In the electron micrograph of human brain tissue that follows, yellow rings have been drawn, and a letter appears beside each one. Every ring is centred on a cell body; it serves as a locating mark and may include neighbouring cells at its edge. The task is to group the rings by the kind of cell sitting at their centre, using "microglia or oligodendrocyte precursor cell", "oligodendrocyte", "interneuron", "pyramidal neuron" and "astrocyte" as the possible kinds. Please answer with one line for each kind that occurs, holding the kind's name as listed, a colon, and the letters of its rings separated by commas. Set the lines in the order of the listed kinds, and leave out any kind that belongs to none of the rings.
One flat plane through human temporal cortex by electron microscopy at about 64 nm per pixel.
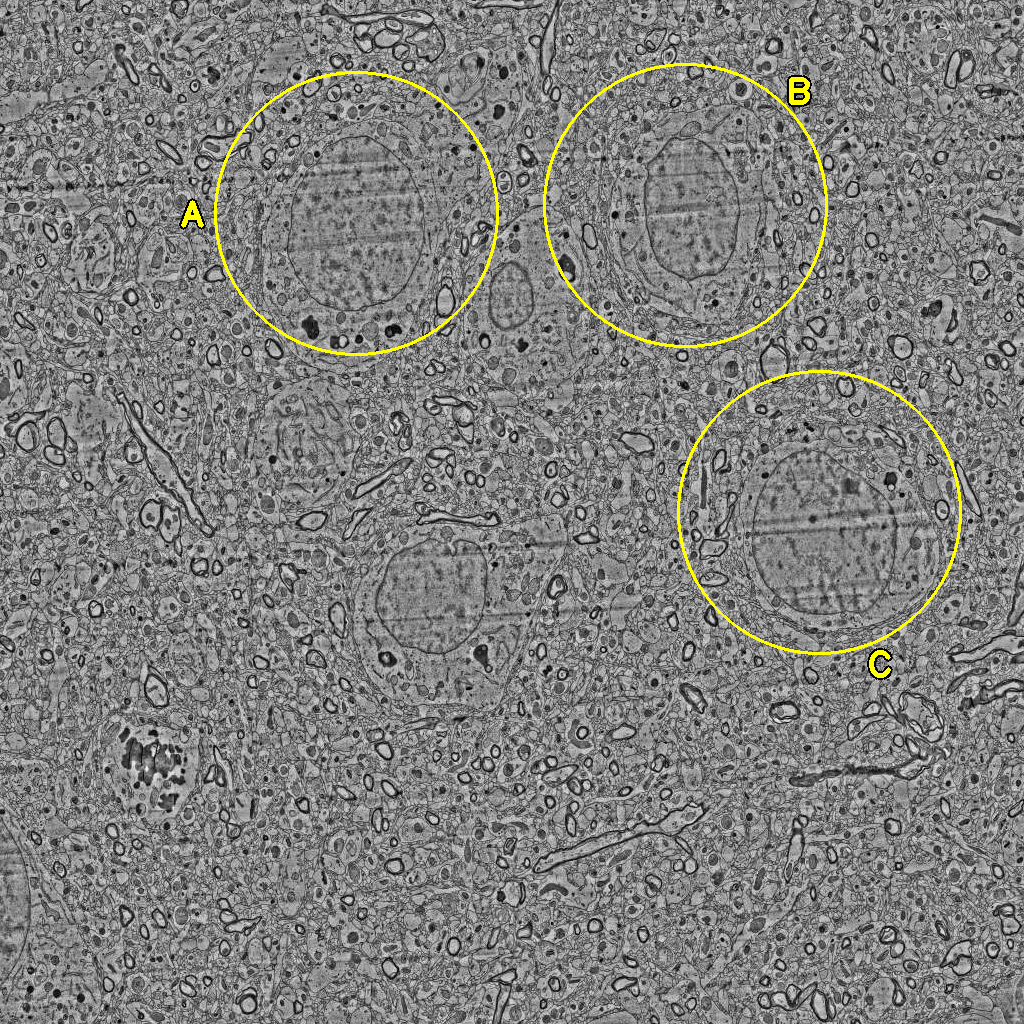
interneuron: C
pyramidal neuron: A, B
